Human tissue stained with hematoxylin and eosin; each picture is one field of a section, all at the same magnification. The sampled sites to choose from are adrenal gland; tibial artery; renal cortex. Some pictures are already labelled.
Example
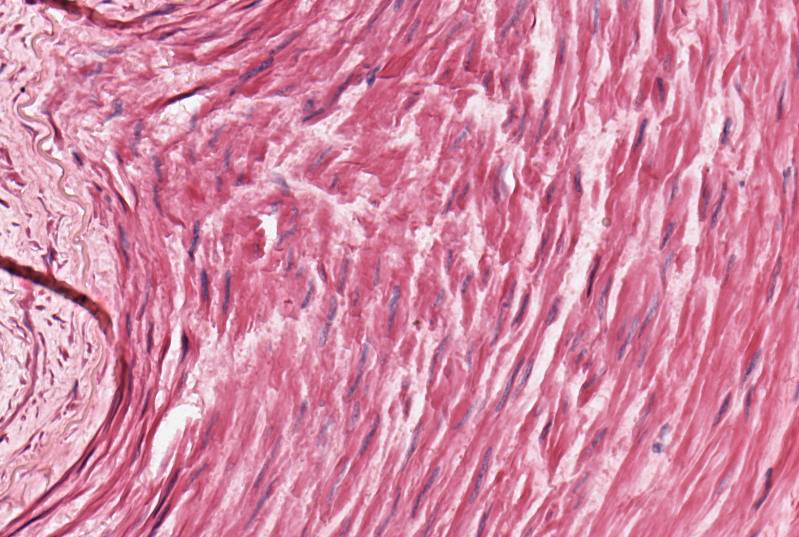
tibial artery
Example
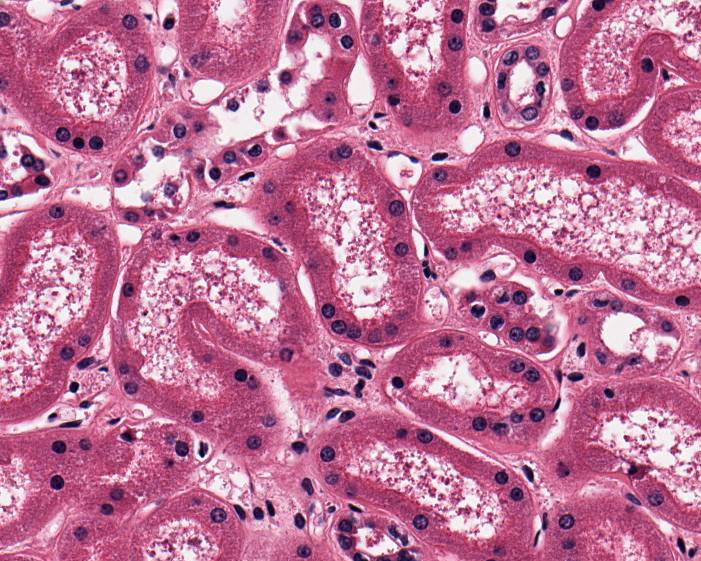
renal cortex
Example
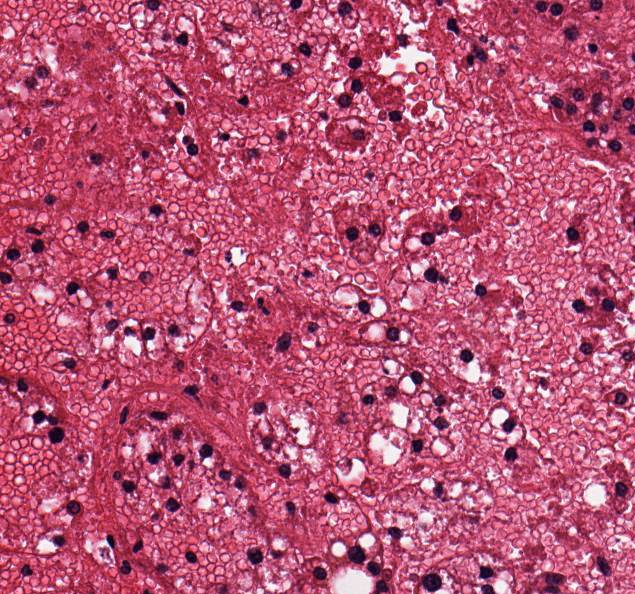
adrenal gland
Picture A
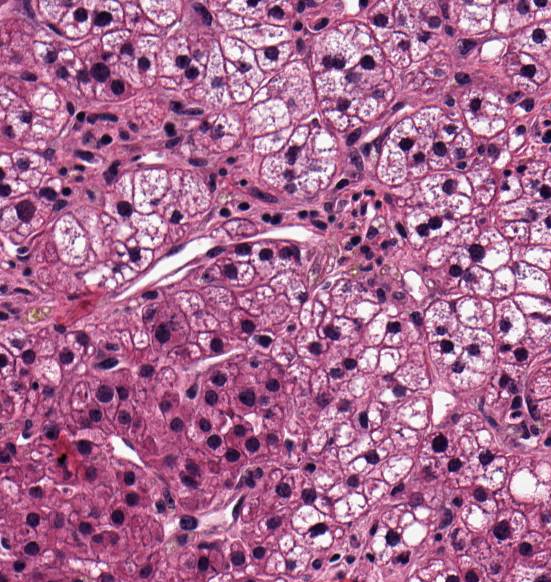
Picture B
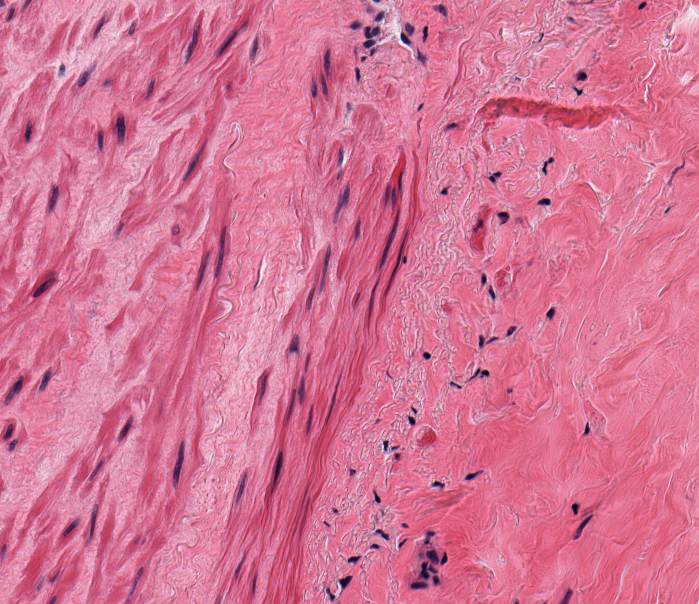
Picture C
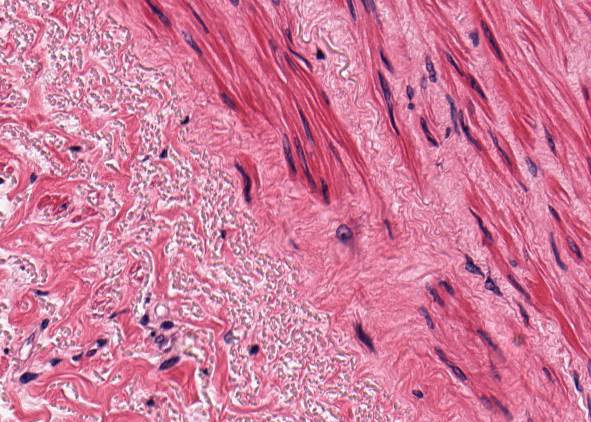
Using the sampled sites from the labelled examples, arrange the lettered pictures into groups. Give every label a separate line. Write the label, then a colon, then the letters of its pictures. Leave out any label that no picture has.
adrenal gland: A
tibial artery: B, C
